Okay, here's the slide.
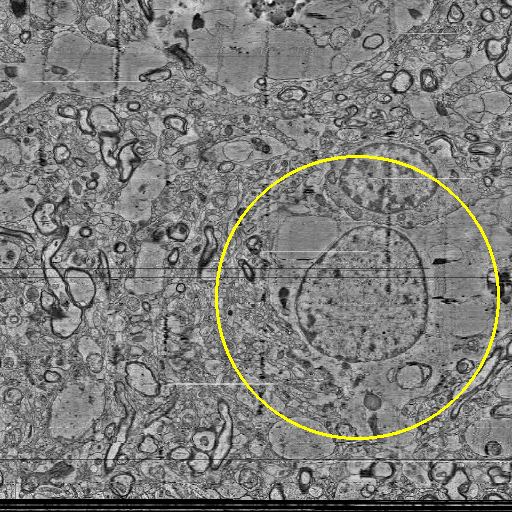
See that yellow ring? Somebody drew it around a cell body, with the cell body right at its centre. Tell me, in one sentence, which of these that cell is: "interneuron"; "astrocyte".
The cell in the middle of the ring is an astrocyte.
